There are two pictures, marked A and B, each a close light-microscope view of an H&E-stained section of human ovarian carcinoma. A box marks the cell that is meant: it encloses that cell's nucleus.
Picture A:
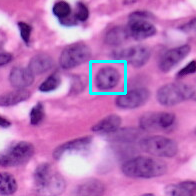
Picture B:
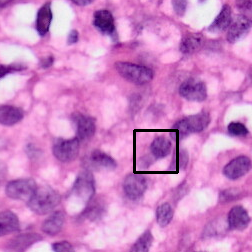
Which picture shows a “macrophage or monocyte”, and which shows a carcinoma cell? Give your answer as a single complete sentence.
Picture A shows a “macrophage or monocyte” and picture B shows a carcinoma cell.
